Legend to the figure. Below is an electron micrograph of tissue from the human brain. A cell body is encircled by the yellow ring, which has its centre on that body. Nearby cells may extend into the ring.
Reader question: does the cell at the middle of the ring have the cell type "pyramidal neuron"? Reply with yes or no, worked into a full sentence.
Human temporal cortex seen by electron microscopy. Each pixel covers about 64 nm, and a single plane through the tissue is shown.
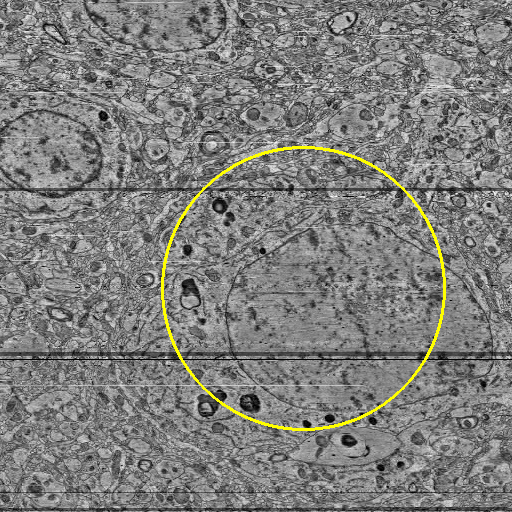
Yes, the cell sitting at the middle of the ring in the picture has that cell type.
